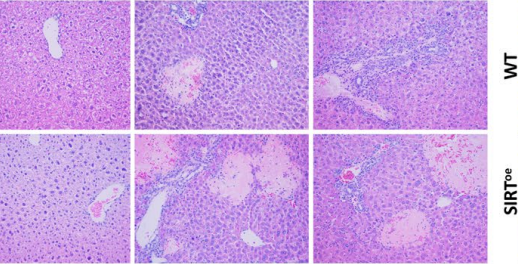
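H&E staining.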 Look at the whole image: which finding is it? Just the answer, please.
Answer: liver damage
